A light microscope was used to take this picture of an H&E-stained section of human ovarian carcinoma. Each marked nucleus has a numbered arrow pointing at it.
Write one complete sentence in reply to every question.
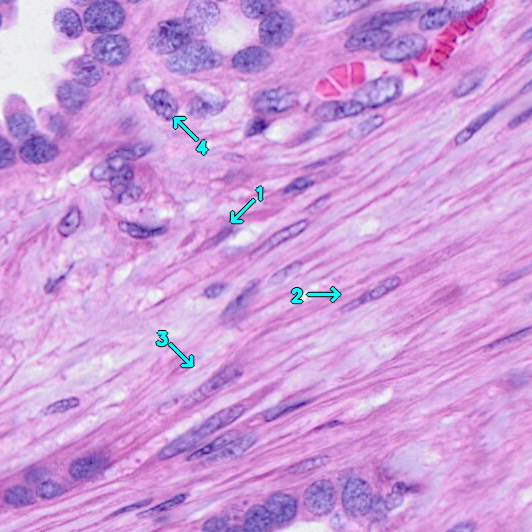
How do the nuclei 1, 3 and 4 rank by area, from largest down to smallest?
From largest to smallest, the order is 3, 4, 1.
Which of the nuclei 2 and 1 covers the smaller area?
Nucleus 1 covers less area, with nucleus 2 about 1.5 times as large.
